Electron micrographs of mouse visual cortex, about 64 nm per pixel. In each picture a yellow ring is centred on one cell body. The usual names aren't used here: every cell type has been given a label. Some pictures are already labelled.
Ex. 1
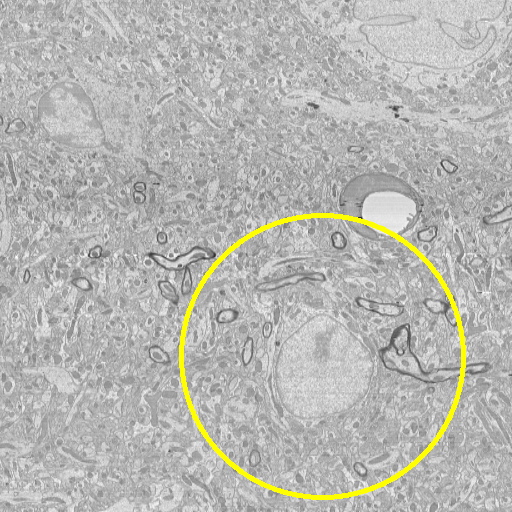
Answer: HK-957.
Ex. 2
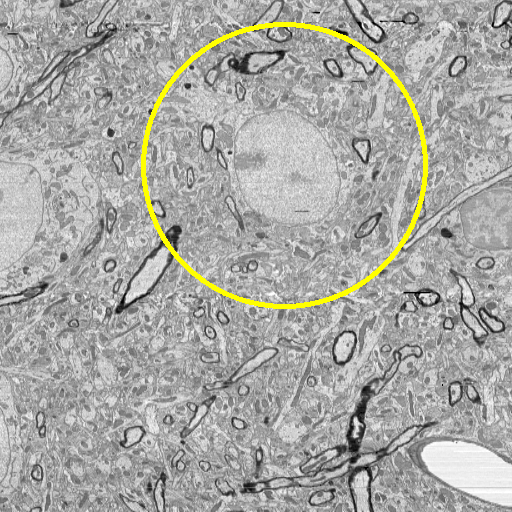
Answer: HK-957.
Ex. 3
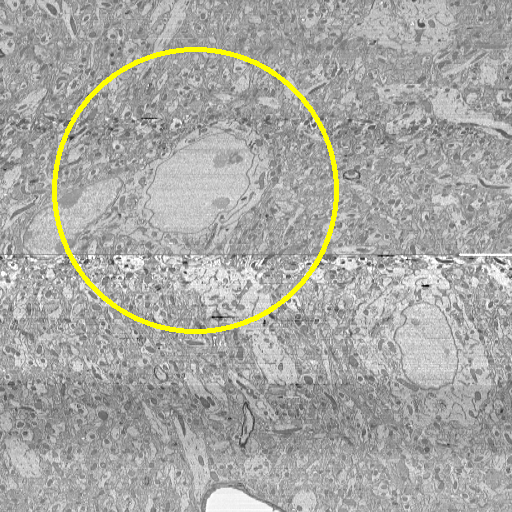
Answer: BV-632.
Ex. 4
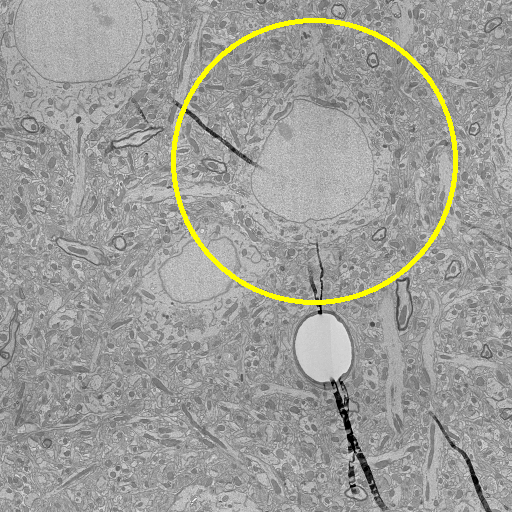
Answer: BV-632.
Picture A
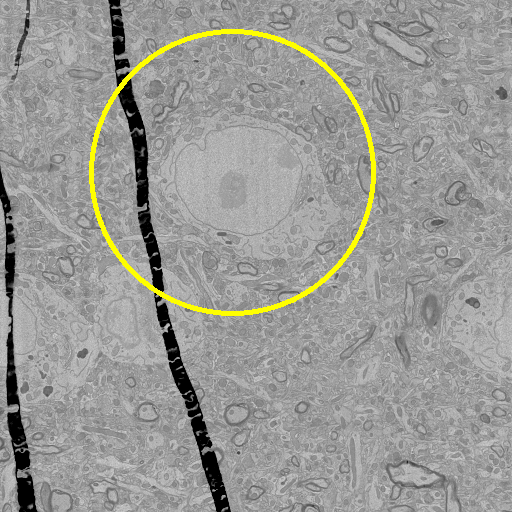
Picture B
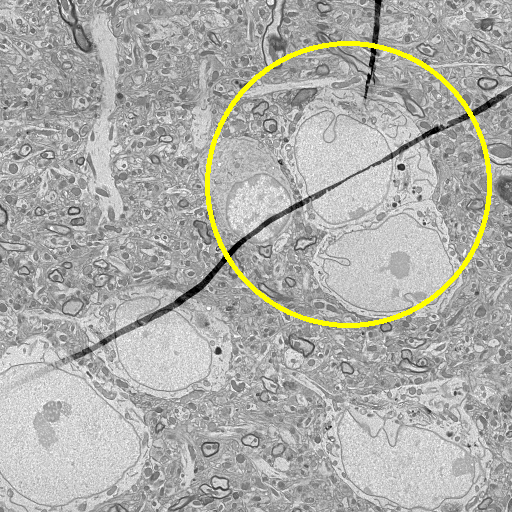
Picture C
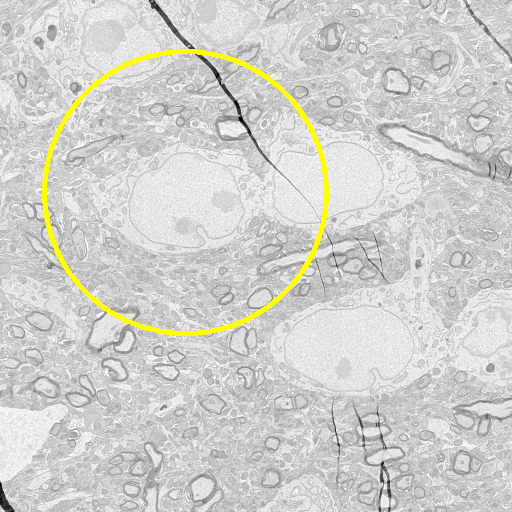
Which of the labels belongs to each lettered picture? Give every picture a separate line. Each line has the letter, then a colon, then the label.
A: BV-632.
B: BV-632.
C: BV-632.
